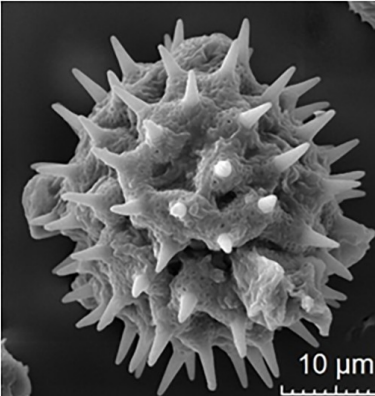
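This scanning electron micrograph shows a single pollen grain seen whole, rounded in outline. Its outer wall bears many long, sharply pointed conical spines that project in all directions from the surface. Between the spines the wall surface is uneven, wrinkled and folded rather than smooth. A few spine tips appear brighter than the rest.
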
